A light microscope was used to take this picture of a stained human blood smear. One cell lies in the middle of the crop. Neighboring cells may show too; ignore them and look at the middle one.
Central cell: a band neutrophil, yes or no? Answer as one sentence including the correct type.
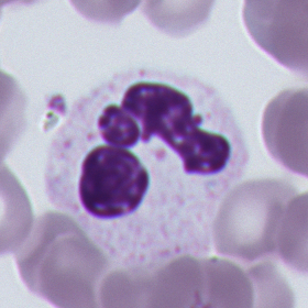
No, the central cell does not count as a band neutrophil; it is a segmented neutrophil.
